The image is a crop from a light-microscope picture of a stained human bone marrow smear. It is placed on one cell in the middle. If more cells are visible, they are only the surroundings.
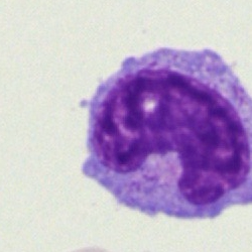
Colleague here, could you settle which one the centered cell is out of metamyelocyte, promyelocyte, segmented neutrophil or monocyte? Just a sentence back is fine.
The middle of this crop holds a monocyte.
